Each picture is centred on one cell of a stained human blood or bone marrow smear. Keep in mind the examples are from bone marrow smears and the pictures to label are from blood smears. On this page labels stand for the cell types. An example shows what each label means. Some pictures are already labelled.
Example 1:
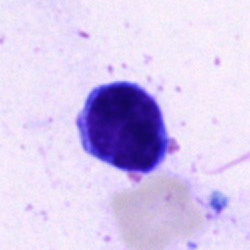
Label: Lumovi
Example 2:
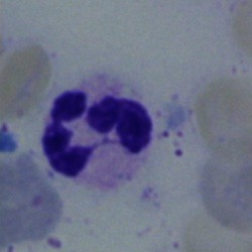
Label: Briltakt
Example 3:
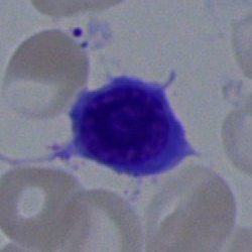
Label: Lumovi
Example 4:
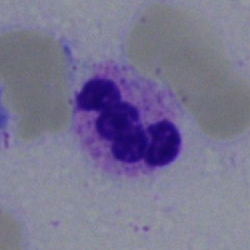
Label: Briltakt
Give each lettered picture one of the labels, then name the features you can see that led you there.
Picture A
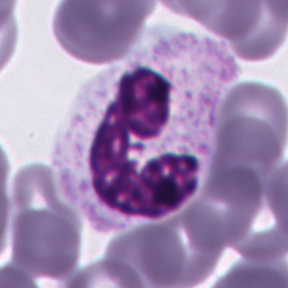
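Briltakt. Reason: The nucleus is bent into a C shape whose opening faces right.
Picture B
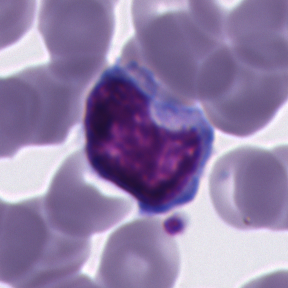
Lumovi. Reason: The nucleus fills most of the cell.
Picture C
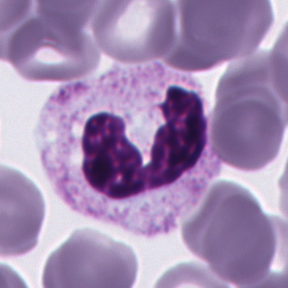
Briltakt. Reason: The nucleus is U-shaped with its opening facing upward.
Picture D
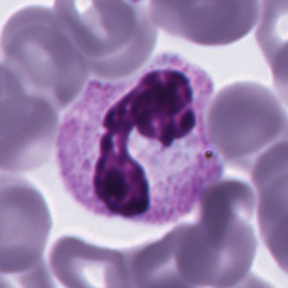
Briltakt. Reason: The cytoplasm is abundant and pale pink-lilac.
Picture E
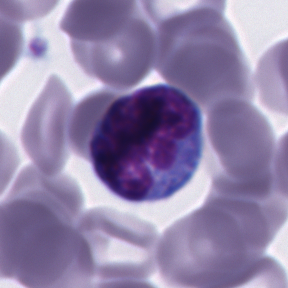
Lumovi. Reason: The nucleus fills most of the cell.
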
